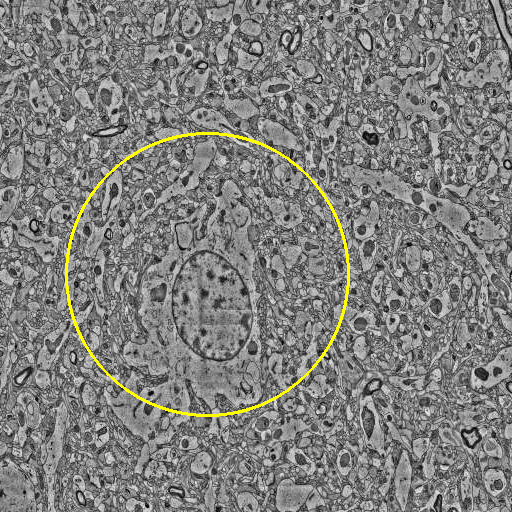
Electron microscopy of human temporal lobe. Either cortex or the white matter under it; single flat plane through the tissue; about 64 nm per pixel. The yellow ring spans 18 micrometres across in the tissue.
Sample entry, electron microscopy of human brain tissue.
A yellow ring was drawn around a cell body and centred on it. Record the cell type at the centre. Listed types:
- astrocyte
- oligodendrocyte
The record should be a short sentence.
The cell at the ring's centre is an astrocyte.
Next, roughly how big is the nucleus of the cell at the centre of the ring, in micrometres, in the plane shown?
The nucleus appears roughly 7 by 5 micrometres in this plane.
